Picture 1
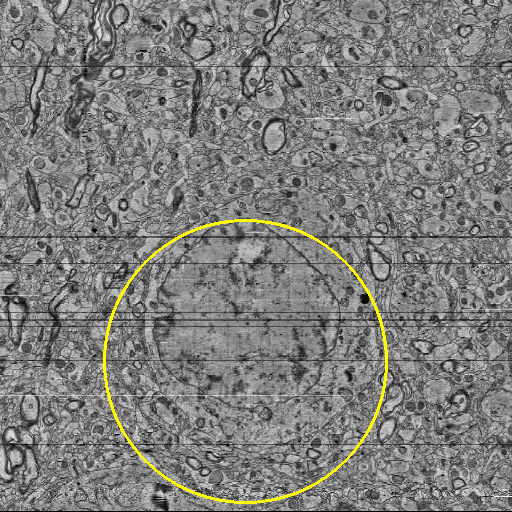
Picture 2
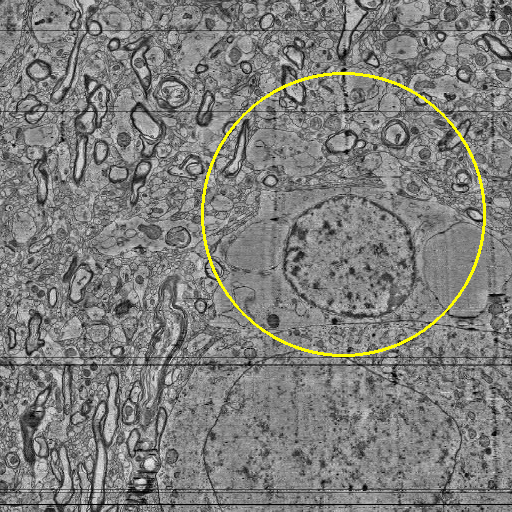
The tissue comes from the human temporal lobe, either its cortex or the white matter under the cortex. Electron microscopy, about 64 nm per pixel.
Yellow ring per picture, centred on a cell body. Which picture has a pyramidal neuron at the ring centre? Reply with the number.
1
